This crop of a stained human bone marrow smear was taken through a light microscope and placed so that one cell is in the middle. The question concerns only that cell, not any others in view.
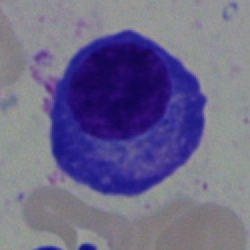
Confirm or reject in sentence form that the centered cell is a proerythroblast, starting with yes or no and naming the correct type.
No, what is centred in the crop is not a proerythroblast but a plasma cell.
